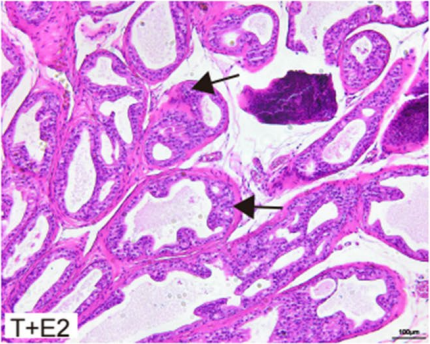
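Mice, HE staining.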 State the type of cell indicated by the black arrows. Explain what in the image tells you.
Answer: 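The arrows point at the cell layer lining glandular spaces. The lining cells are crowded with many dark purple nuclei. Thin pink stroma separates the glands. On this evidence: prostate epithelial cells.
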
